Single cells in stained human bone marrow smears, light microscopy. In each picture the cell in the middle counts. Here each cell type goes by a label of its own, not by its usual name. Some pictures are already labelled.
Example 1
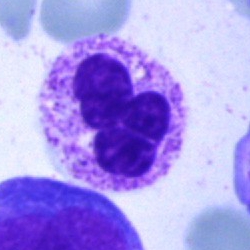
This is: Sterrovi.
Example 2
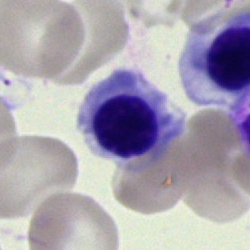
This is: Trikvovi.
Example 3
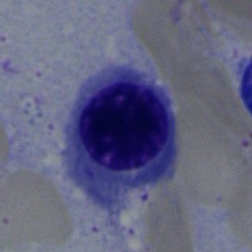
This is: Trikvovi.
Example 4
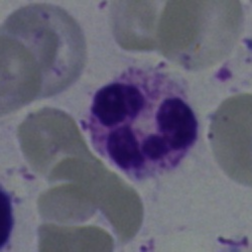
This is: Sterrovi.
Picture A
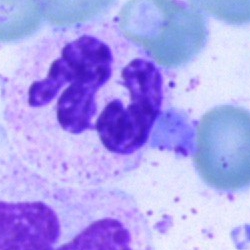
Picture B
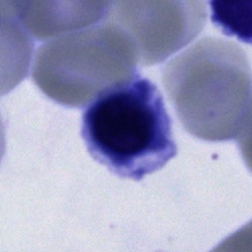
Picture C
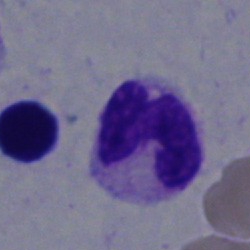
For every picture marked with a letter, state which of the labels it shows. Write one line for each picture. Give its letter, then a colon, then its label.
A: Sterrovi.
B: Trikvovi.
C: Sterrovi.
